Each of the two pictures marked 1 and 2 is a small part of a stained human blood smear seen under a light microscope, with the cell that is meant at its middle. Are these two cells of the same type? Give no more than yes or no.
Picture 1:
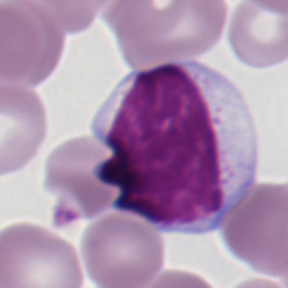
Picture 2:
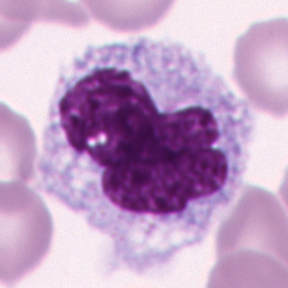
no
